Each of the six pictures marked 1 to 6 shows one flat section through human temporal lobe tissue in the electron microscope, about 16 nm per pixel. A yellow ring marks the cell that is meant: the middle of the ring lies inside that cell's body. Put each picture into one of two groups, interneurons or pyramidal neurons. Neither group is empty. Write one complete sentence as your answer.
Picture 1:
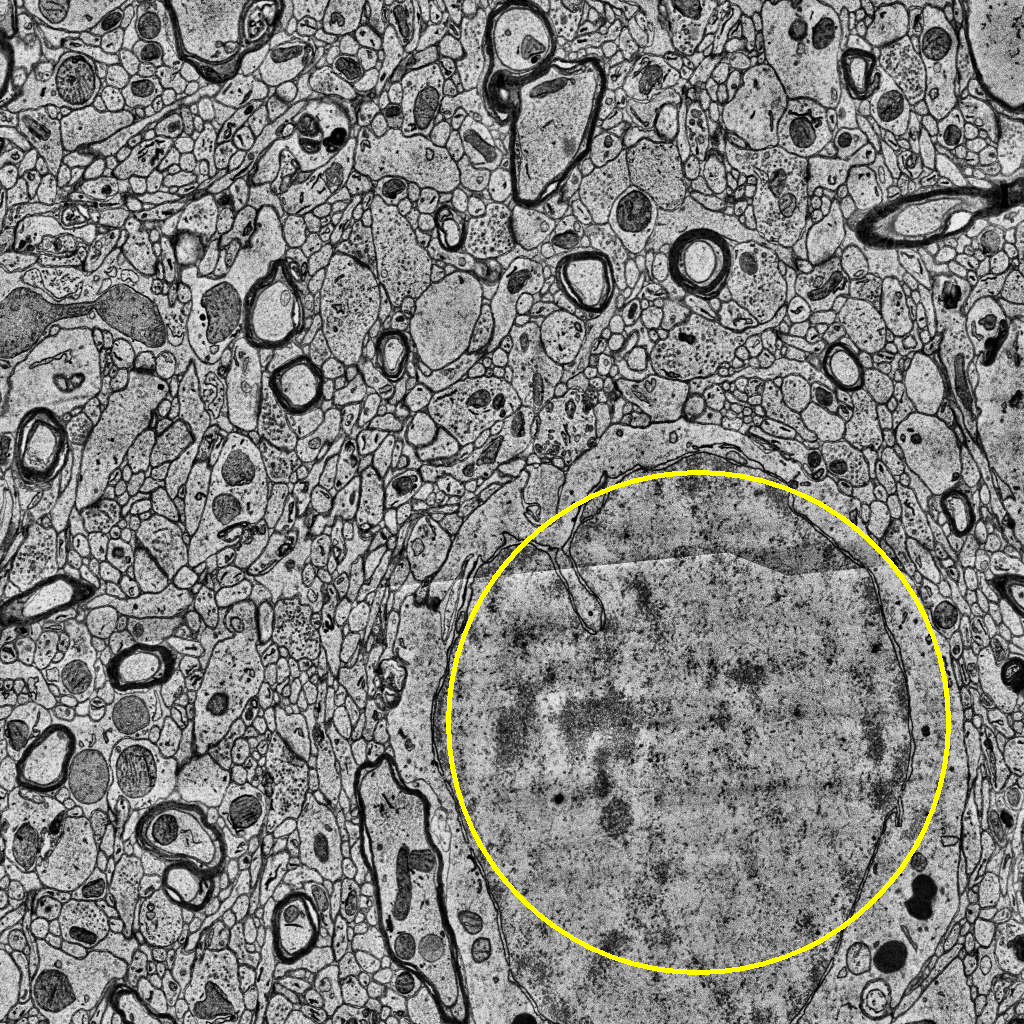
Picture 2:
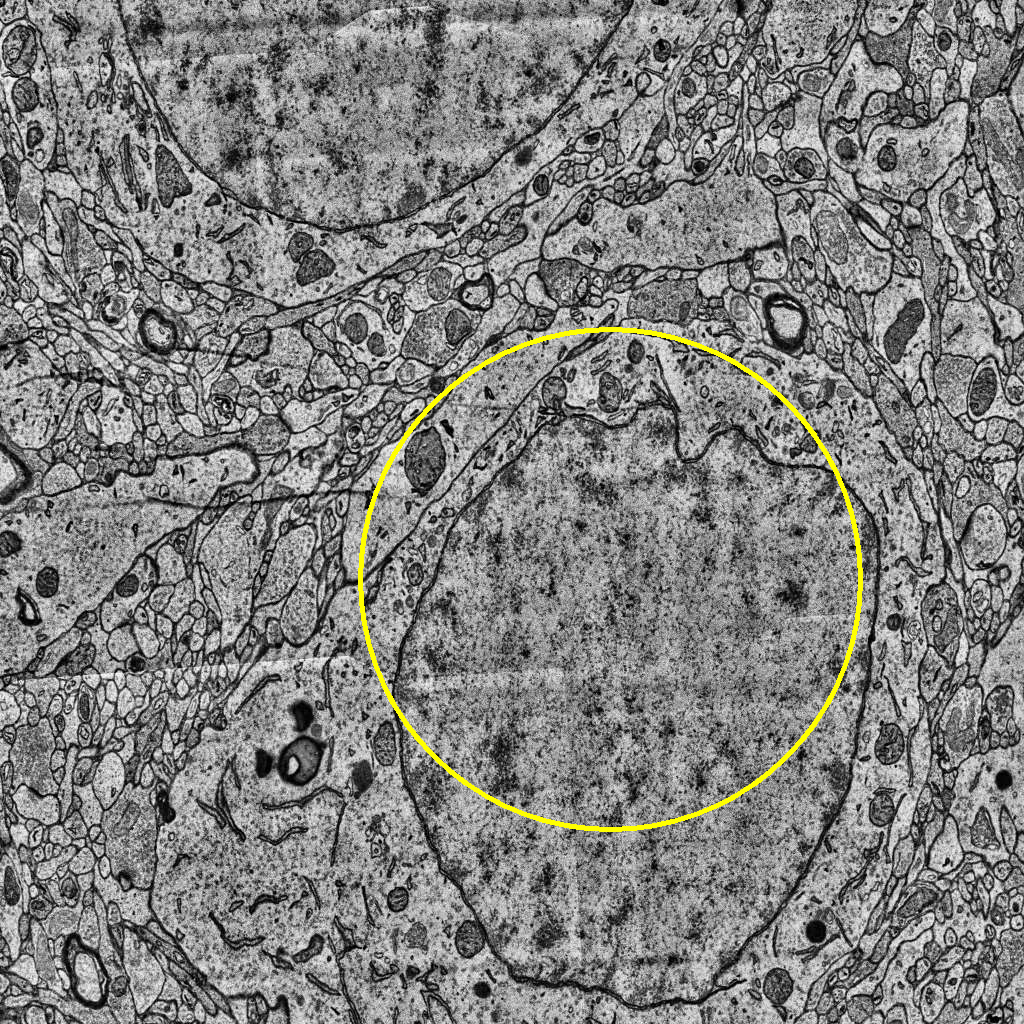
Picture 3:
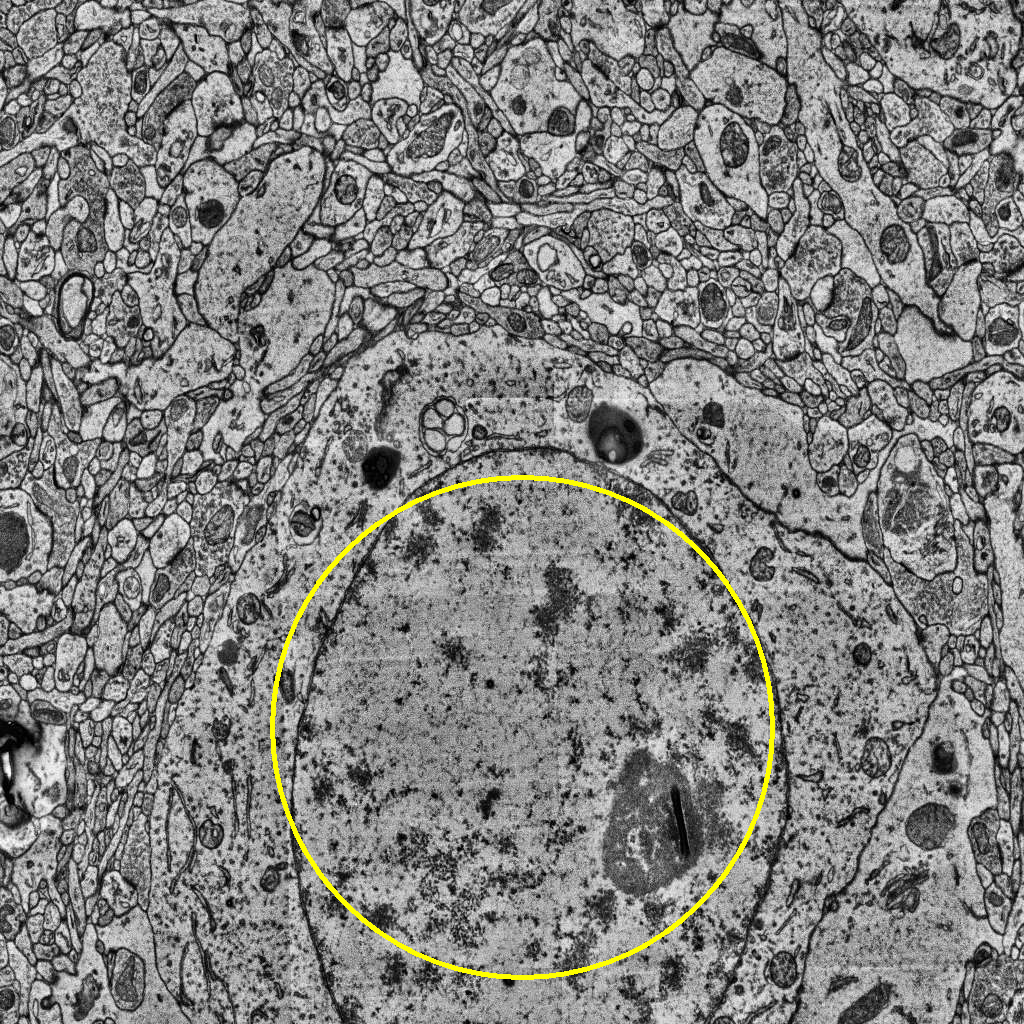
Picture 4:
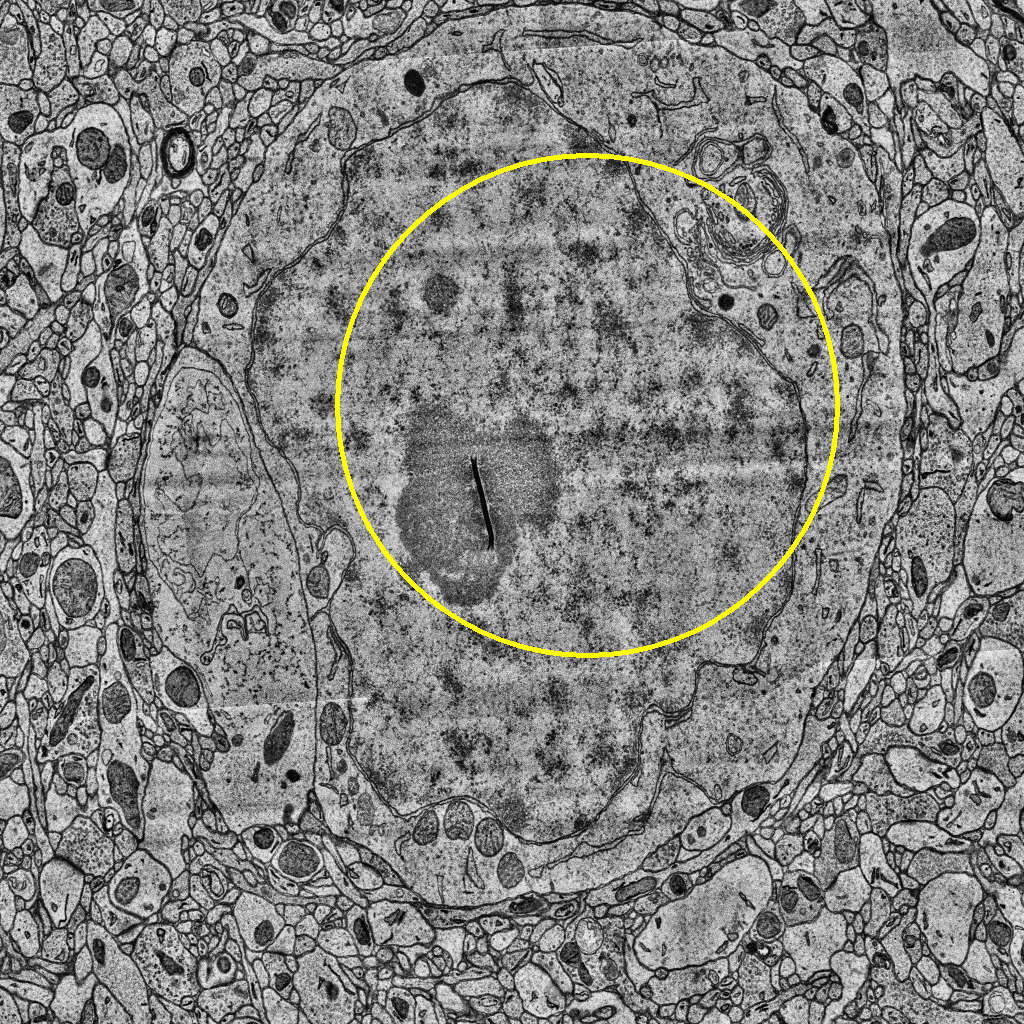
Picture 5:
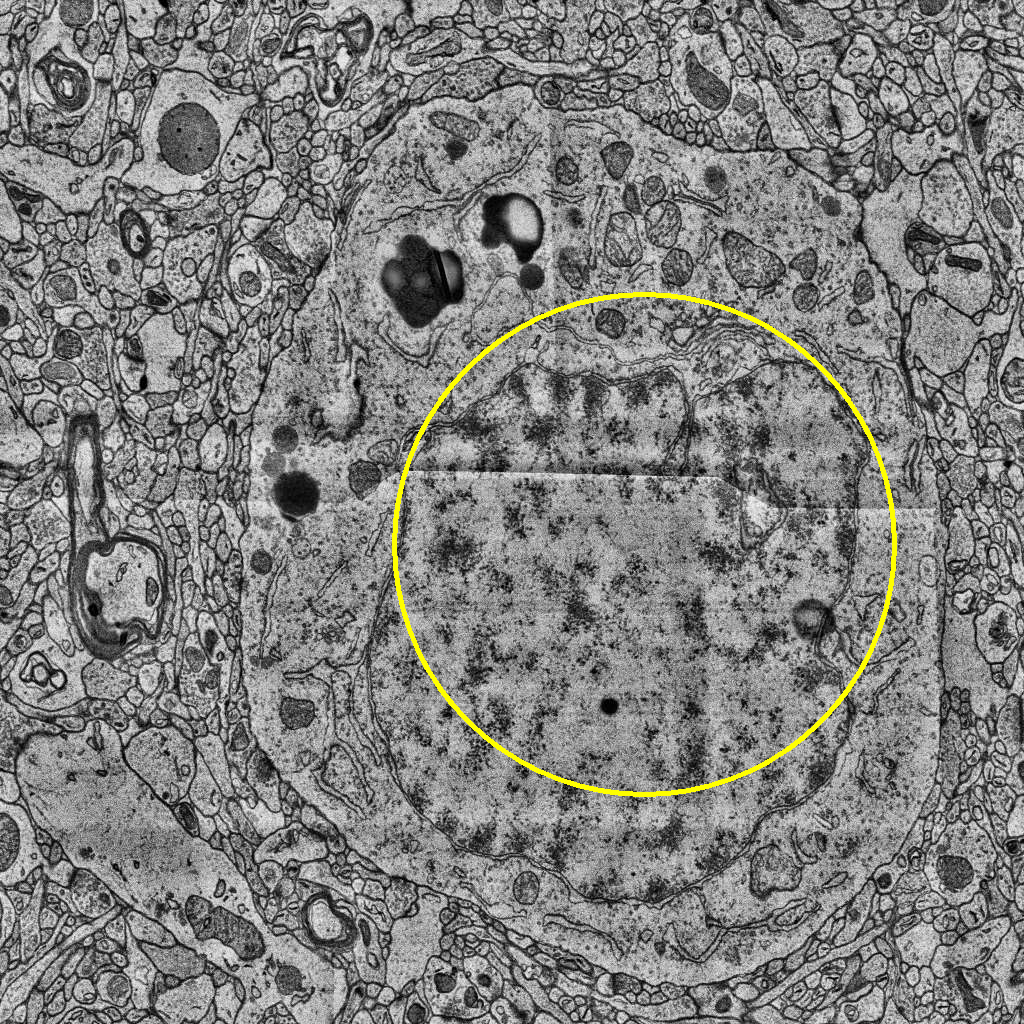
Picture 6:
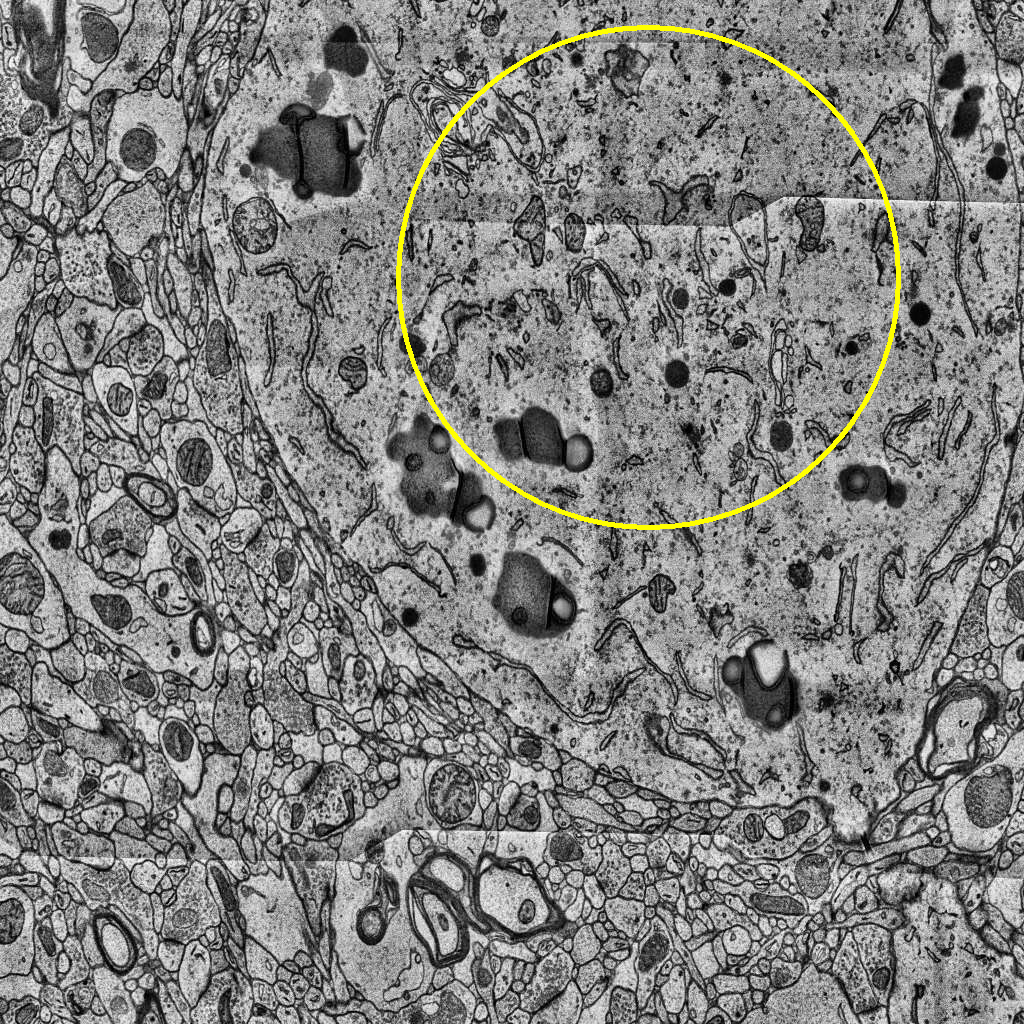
Pictures 1, 4 and 5 show interneurons, and pictures 2, 3 and 6 show pyramidal neurons.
